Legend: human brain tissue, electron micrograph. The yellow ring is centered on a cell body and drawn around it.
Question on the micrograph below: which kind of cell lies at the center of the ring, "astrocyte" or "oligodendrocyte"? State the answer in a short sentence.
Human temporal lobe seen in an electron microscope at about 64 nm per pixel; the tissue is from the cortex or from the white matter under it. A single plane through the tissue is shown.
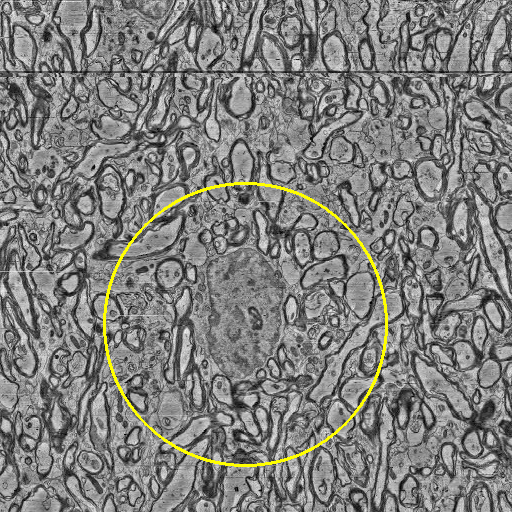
At the center of the ring lies an oligodendrocyte.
